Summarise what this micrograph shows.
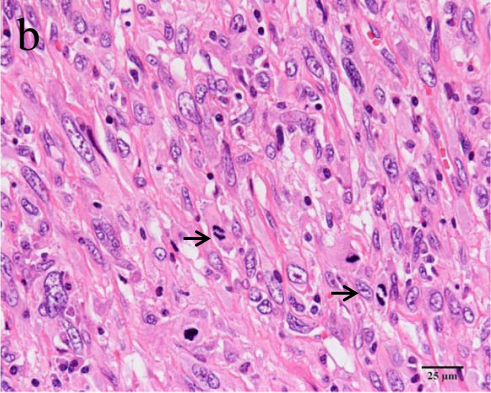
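This field shows atypical spindle-shaped tumor cells with frequent mitotic figures. Several dividing cells show dark condensed chromosome clumps, two of them marked by arrows. Scattered among the tumor cells are small cells with round, dense nuclei, consistent with a mild inflammatory infiltrate. Clear spaces separate some of the cells.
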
